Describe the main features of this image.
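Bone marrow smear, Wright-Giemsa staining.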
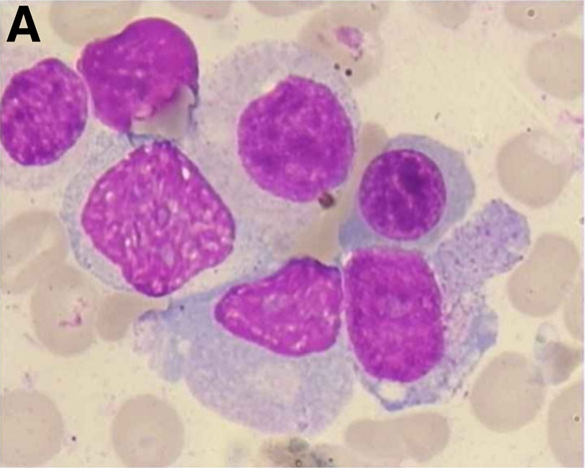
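The cells are large, with big round to oval or irregular nuclei that fill much of each cell. The nuclear chromatin is purple-magenta with a fine, open, reticular pattern, looking somewhat immature. The cytoplasm forms a broad, pale greyish-blue rim around the nuclei. One cell at the right has cytoplasm dotted with fine purple granules and small clear vacuoles. A smaller cell with a round, denser nucleus containing a darker spot sits between the larger ones.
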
